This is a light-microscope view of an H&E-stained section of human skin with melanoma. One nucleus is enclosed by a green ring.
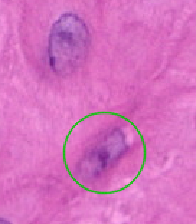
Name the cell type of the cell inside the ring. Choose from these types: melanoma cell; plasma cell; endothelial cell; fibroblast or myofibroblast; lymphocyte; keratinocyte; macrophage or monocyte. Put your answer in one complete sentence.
It is a keratinocyte that the cell inside the ring represents.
